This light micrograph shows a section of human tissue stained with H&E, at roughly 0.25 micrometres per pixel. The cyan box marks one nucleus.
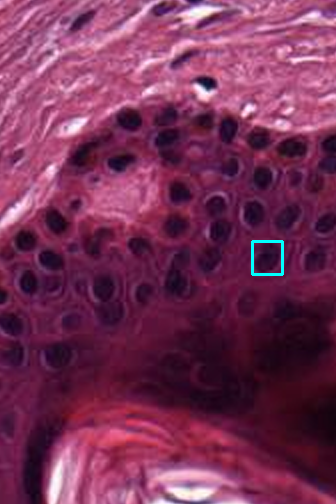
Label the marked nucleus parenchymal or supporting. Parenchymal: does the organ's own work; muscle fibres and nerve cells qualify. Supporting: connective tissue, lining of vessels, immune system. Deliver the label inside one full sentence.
This marked nucleus is part of a parenchymal cell, namely a keratinocyte.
